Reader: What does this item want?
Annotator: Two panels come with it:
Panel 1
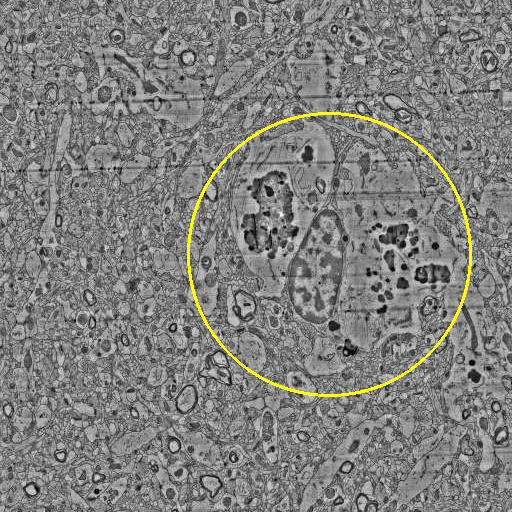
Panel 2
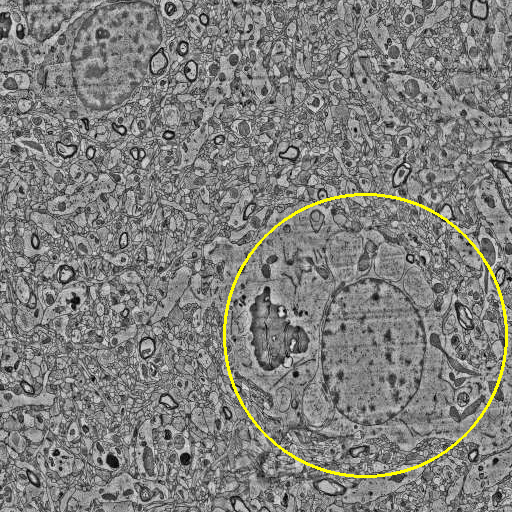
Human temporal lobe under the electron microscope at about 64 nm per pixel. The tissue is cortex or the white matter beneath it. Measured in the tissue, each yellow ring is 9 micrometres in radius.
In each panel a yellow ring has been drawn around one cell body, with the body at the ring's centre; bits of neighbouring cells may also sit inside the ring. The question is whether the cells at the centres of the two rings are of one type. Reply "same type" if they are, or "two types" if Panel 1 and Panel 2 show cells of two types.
two types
